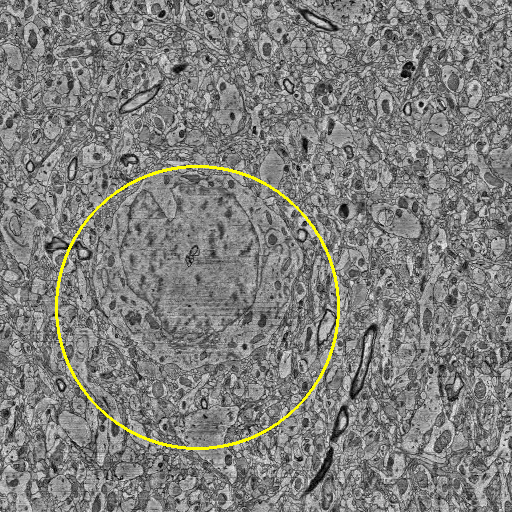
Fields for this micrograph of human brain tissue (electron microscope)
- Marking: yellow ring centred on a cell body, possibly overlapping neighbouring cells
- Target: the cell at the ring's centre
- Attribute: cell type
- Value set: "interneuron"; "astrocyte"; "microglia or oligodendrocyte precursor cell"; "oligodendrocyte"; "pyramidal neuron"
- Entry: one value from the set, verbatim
interneuron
